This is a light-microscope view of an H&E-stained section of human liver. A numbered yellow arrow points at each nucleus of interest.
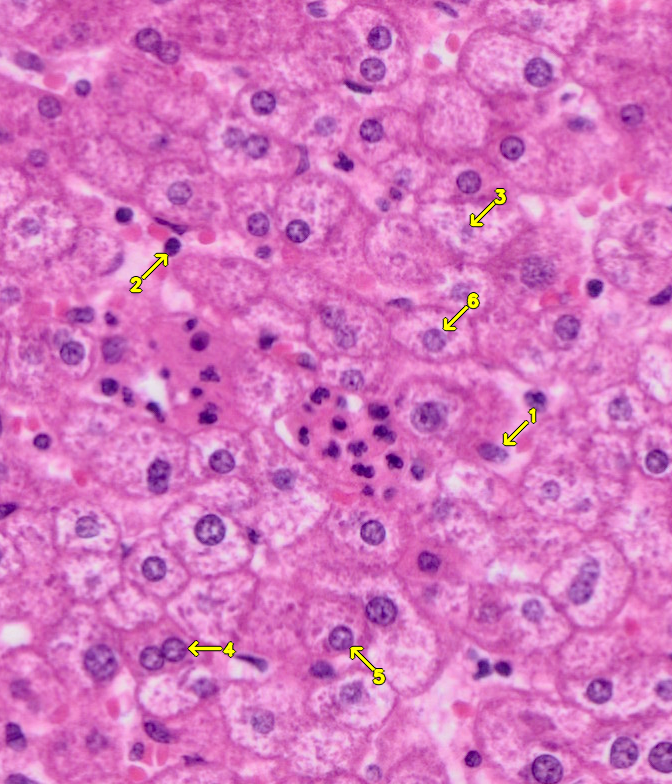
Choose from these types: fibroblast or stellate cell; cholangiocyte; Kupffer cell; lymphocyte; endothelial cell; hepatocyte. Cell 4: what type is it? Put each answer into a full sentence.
In this section, the cell tagged 4 is a hepatocyte.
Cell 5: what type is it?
The cell that goes by number 5 is a hepatocyte.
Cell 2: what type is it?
That cell with number 2 is a lymphocyte.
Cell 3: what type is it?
The numbered cell 3 is identified here as a hepatocyte.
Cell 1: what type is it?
The cell that is numbered 1 is a Kupffer cell.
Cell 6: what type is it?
The cell that bears the number 6 is a hepatocyte.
